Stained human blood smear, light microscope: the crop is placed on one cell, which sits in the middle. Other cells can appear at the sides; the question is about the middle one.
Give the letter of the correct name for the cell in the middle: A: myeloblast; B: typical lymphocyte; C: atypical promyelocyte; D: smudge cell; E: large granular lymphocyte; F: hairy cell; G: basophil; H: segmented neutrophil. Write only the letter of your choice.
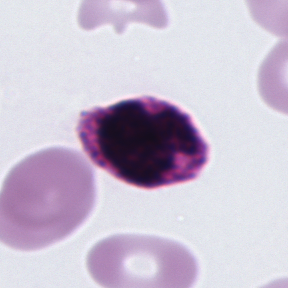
G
